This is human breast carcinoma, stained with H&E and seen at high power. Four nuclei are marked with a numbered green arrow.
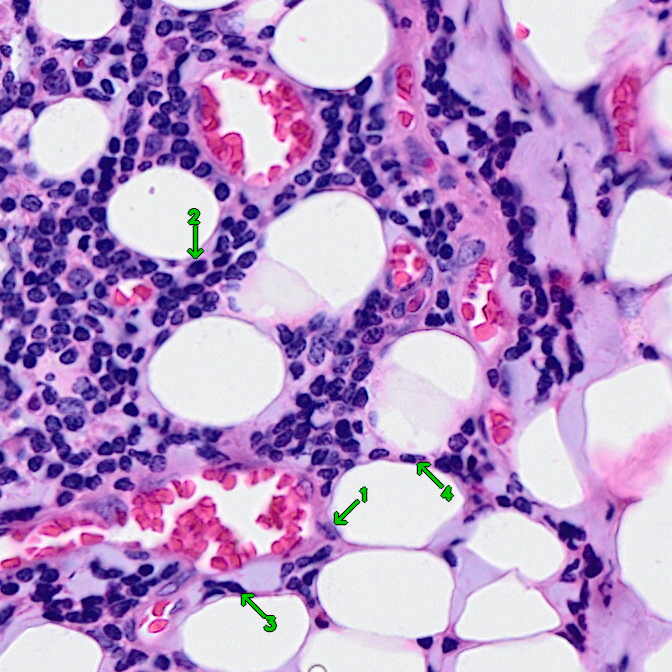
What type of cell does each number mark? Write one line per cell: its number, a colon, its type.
1: endothelial cell
2: lymphocyte
3: lymphocyte
4: lymphocyte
